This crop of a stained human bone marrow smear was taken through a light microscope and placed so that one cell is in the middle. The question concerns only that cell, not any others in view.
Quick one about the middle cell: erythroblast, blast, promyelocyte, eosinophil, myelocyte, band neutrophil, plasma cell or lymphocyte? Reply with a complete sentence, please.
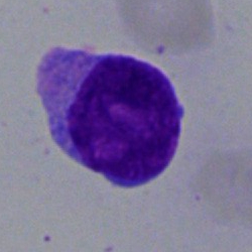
This crop is built around a blast at its centre.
